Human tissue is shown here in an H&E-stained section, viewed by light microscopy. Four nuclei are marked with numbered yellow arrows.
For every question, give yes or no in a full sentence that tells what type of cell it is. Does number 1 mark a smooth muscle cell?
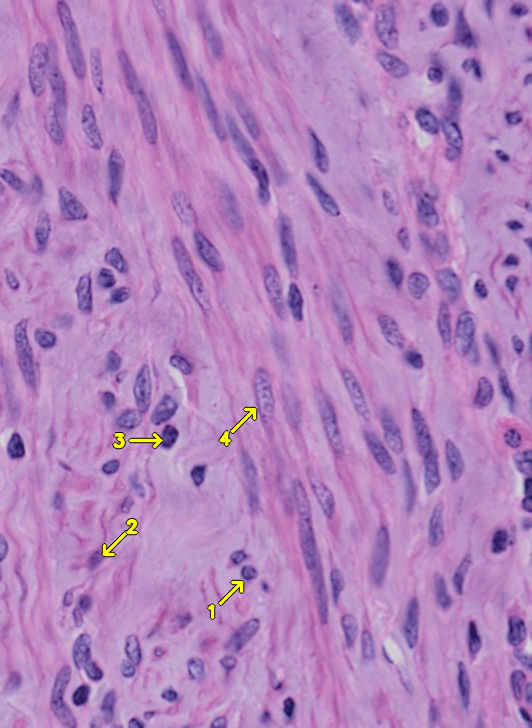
Yes, the cell with the number 1 is a smooth muscle cell.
